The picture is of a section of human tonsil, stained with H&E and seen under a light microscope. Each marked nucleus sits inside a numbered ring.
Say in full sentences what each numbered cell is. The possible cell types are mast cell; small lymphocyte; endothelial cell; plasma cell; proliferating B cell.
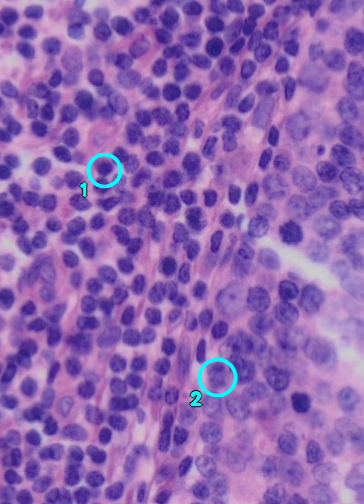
Cell 1 is a small lymphocyte and cell 2 is a proliferating B cell.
